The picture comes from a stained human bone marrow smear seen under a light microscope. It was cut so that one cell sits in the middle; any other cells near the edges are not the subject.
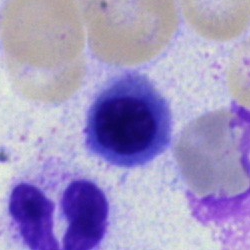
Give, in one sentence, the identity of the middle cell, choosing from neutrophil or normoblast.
The middle position in this crop is taken by a normoblast.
